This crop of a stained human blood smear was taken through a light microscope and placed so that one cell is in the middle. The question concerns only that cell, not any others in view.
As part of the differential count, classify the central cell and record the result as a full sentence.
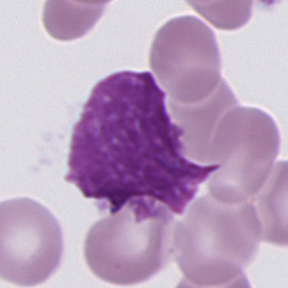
As for the cell in the middle, it is a smudge cell.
